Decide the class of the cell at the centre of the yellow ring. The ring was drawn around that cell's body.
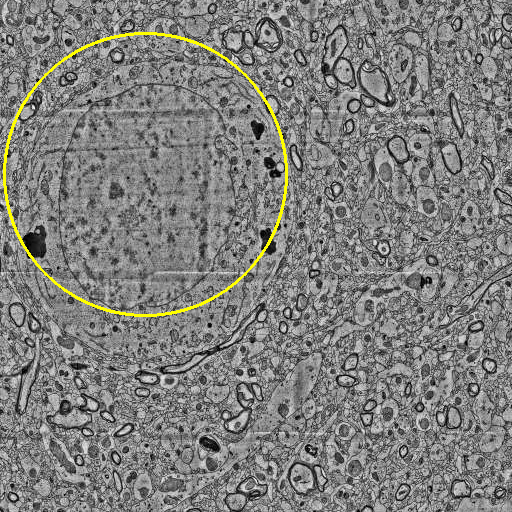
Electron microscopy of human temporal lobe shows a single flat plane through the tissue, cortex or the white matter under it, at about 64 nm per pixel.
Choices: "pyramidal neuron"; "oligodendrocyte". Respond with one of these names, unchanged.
pyramidal neuron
